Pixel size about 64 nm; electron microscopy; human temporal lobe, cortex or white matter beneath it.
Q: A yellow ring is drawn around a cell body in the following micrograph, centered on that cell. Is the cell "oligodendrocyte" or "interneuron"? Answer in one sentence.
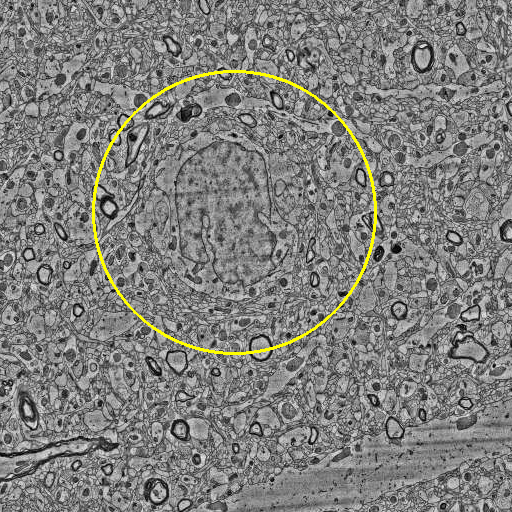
The cell in the center of the ring is an interneuron.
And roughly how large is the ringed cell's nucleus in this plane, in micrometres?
About 9 by 6 micrometres in this plane.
